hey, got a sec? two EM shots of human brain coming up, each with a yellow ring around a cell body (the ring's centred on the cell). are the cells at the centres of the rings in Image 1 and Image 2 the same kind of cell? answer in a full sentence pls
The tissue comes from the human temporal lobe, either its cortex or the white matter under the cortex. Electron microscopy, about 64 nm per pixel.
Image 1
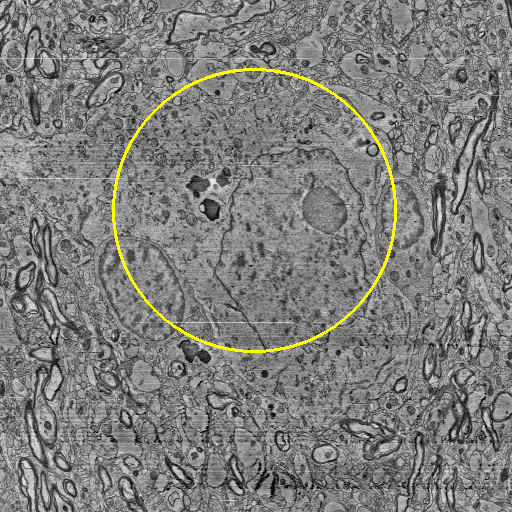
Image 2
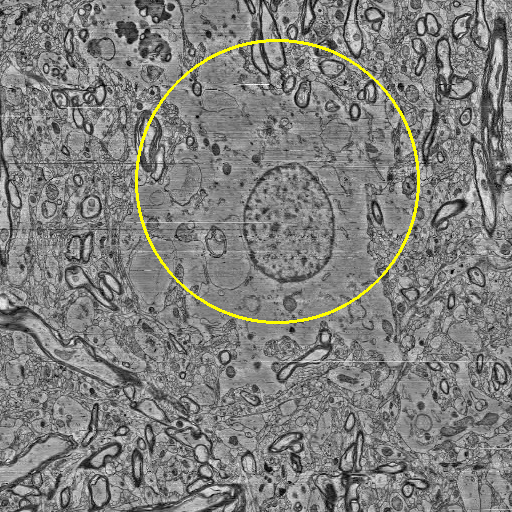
No, they are two kinds of cell.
